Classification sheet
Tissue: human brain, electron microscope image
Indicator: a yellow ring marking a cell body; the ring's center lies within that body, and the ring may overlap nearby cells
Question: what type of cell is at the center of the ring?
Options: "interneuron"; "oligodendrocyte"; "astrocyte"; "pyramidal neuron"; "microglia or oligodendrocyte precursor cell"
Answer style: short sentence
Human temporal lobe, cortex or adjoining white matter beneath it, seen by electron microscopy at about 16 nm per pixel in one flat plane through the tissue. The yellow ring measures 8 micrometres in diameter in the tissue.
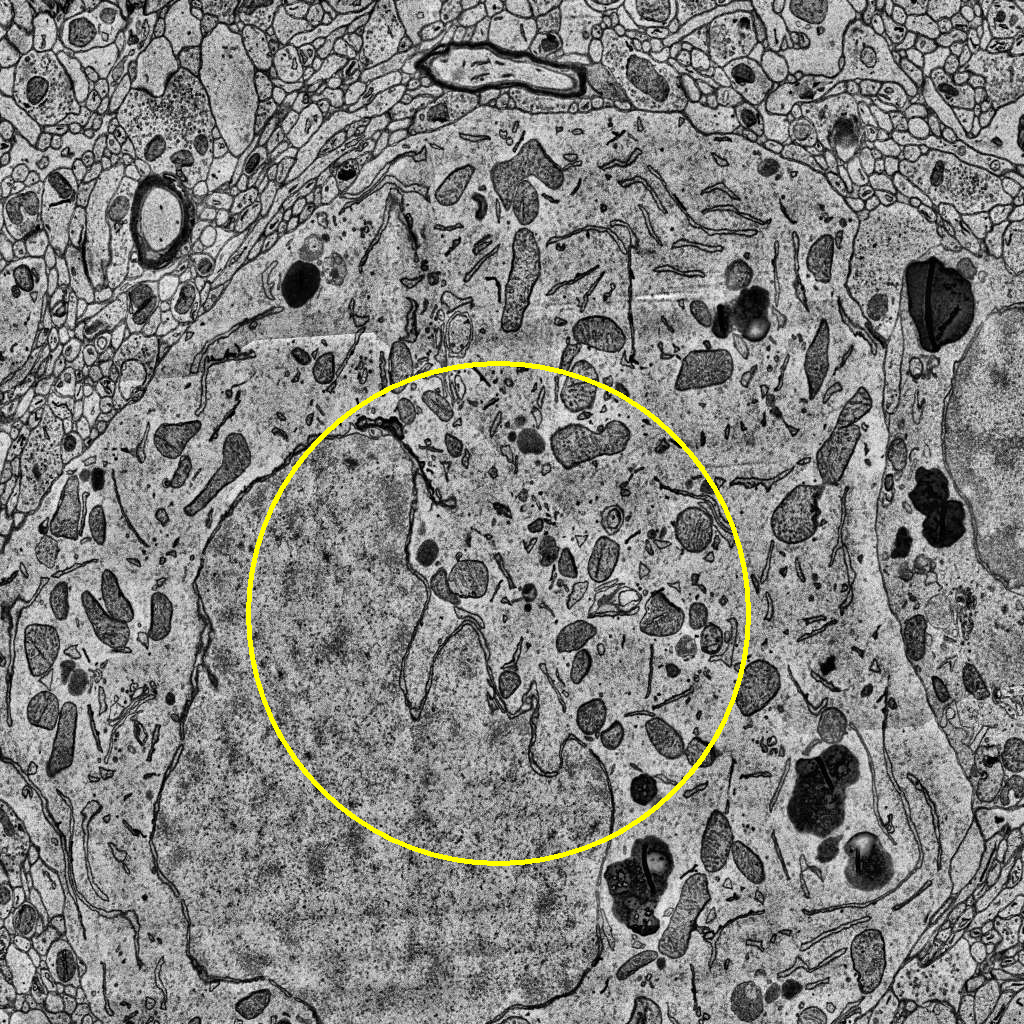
At the ring's center is an interneuron.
